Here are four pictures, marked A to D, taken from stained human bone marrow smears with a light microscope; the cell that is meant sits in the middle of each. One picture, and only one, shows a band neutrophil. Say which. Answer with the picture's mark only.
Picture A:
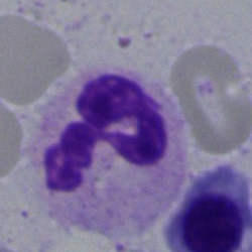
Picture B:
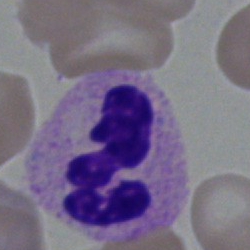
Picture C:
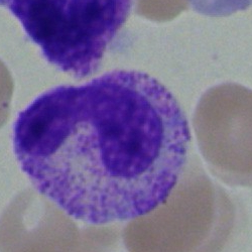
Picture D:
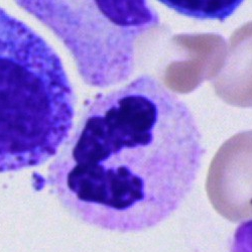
C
